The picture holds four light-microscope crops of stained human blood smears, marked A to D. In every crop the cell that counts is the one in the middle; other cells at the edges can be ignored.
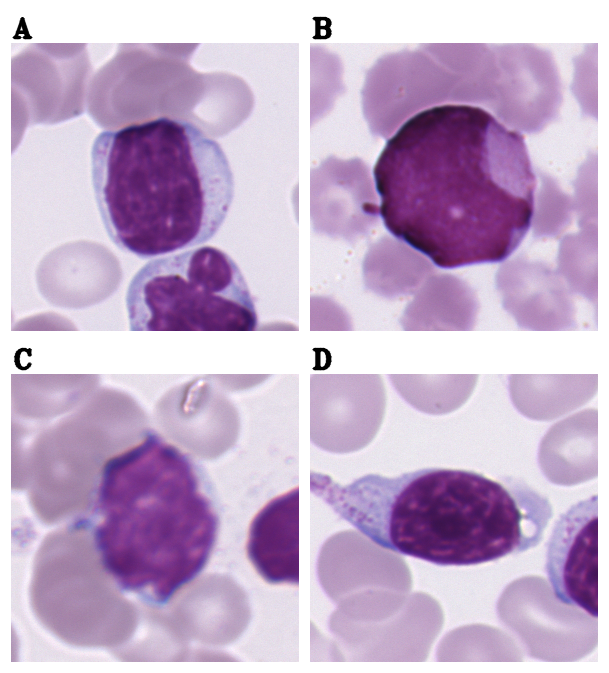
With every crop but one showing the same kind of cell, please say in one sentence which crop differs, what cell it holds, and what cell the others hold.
Crop B alone shows a myeloblast; the other crops are all large granular lymphocytes.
